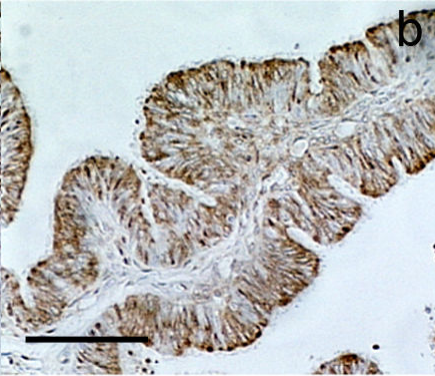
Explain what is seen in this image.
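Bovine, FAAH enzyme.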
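Mucosal folds of the oviduct lined by a tall columnar epithelium with brown cytoplasmic staining throughout the cell layer. Nuclei are elongated, crowded and set at varying heights, giving a pseudostratified look. The luminal border is sharp and darker brown. Each fold has a thin, pale connective tissue core with sparse spindle-shaped cells and small vessels, largely unstained. Folds branch and project into a clear lumen.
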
